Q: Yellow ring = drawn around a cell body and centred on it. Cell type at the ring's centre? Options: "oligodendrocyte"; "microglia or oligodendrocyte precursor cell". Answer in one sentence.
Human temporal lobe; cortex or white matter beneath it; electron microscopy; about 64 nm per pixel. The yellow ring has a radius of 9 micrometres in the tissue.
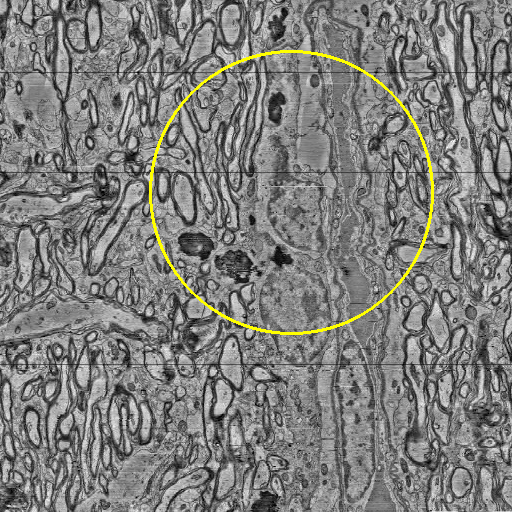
Centred in the ring is a microglial cell or oligodendrocyte precursor cell.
